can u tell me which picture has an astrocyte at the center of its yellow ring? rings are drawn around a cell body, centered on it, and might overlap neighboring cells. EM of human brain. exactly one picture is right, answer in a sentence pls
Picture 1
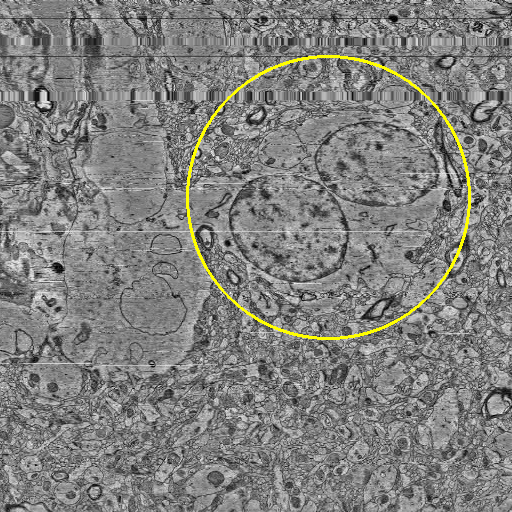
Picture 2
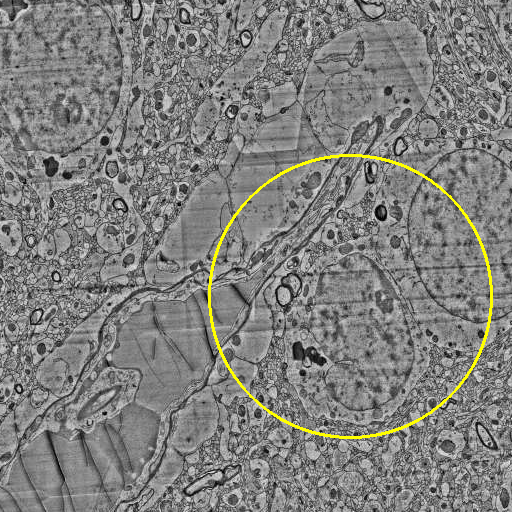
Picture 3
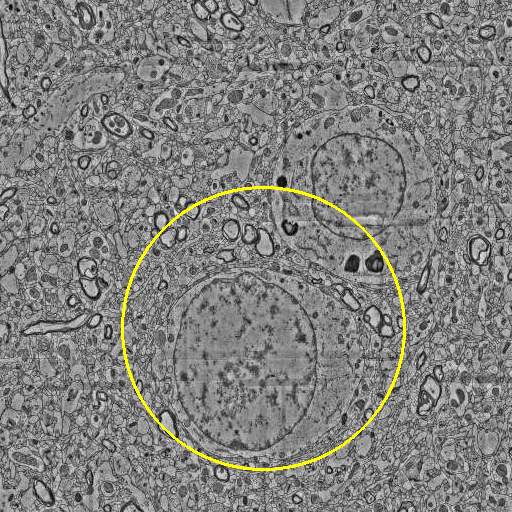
Picture 1 is the one.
